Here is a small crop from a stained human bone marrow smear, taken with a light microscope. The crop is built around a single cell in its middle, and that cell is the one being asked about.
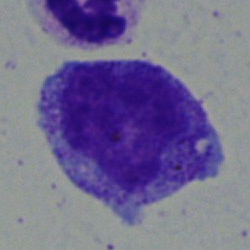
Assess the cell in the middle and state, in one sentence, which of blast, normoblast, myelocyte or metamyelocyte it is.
The central cell shown in this smear crop is a myelocyte.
